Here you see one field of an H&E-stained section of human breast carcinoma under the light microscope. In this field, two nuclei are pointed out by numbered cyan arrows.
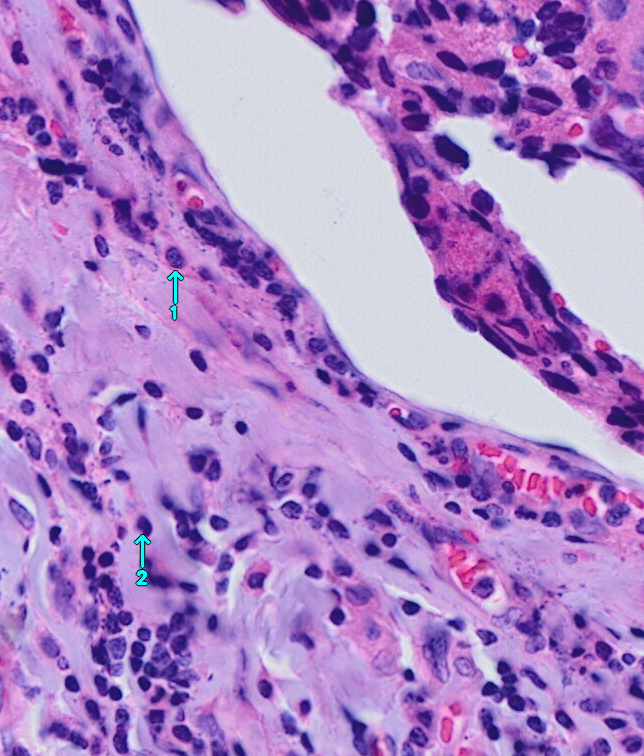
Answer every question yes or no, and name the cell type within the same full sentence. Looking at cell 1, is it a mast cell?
Yes, it is a mast cell that number 1 identifies.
